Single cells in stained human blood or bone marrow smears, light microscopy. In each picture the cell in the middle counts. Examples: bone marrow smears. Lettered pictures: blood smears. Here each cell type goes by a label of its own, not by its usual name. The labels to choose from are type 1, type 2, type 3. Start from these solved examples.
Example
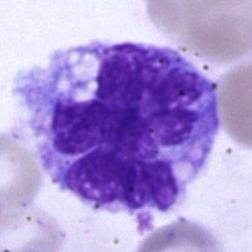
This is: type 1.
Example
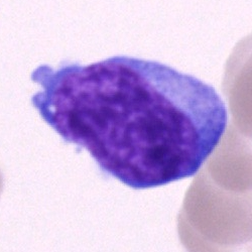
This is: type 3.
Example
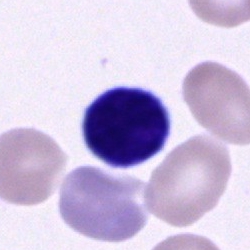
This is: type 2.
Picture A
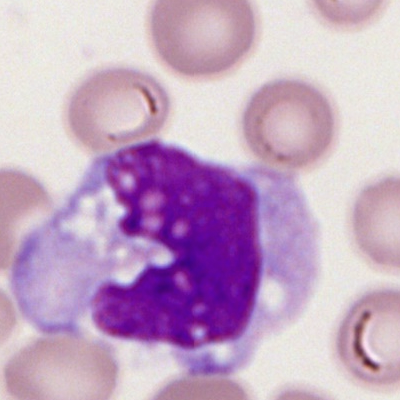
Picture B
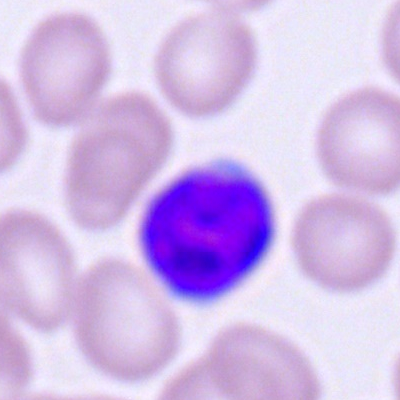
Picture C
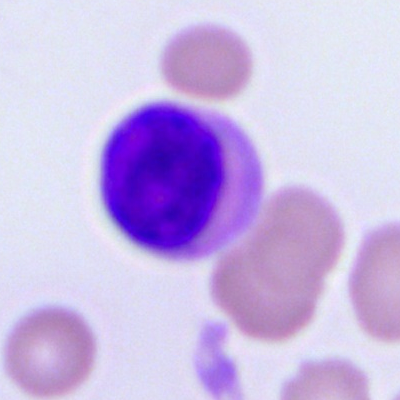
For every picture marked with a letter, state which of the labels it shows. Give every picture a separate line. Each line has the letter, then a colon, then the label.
A: type 1.
B: type 2.
C: type 2.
